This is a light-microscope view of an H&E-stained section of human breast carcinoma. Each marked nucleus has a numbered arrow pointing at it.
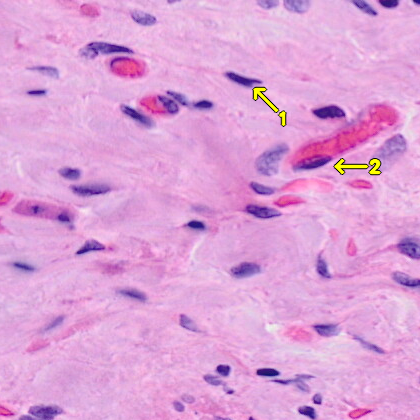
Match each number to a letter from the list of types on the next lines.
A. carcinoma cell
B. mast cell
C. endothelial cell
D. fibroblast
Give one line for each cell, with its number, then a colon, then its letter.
1: D
2: C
